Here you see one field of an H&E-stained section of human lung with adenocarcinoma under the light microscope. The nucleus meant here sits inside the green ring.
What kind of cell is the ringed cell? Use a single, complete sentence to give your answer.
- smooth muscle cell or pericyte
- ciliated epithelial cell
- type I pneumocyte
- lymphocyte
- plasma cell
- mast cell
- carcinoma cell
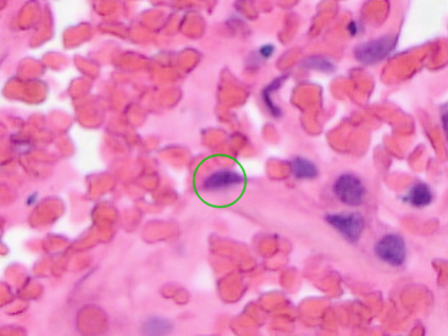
Among the cells in this section, the ringed cell is a type I pneumocyte.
